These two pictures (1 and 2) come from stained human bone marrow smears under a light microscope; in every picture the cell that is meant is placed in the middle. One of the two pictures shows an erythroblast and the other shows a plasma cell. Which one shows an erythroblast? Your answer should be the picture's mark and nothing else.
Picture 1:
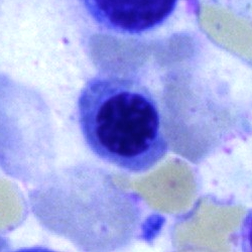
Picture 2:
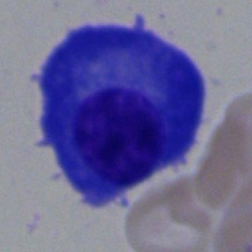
1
